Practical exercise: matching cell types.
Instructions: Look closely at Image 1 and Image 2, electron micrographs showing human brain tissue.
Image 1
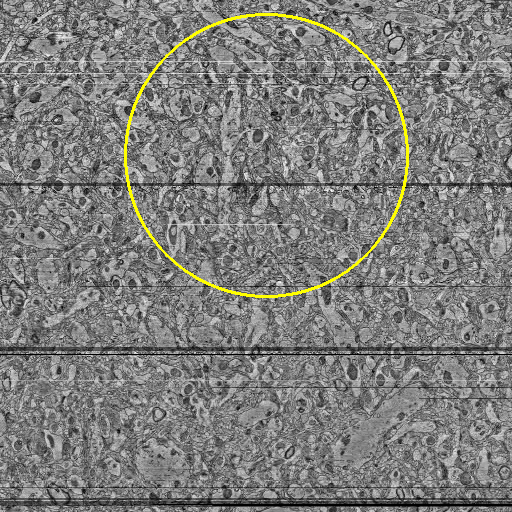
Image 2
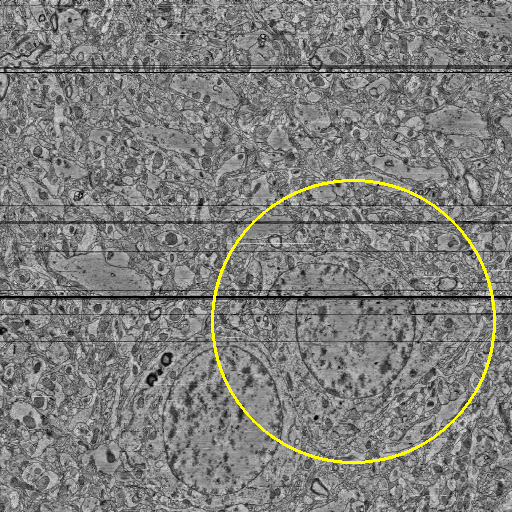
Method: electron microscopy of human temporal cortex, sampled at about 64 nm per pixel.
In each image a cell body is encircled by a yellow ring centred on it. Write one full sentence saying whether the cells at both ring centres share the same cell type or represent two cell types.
Across Image 1 and Image 2, the cells at the ring centres represent two cell types.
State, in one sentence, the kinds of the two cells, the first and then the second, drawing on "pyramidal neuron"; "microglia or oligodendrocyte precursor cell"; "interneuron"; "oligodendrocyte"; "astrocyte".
The ring in the second picture is centred on a pyramidal neuron, the ring in the first on an oligodendrocyte.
